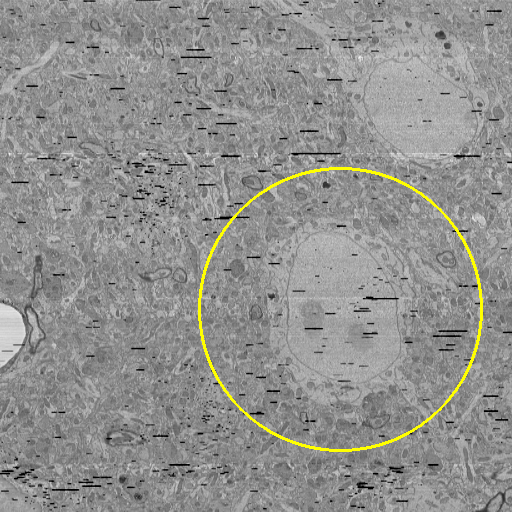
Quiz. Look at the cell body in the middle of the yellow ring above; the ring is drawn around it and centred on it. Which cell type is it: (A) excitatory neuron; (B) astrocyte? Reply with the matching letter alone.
A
